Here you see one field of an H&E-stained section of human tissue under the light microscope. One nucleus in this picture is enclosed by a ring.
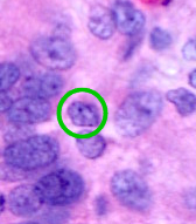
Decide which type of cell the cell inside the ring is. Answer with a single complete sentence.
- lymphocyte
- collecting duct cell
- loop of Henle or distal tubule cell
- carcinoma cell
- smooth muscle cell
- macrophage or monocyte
By its classification, the cell inside the ring is a macrophage or monocyte.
